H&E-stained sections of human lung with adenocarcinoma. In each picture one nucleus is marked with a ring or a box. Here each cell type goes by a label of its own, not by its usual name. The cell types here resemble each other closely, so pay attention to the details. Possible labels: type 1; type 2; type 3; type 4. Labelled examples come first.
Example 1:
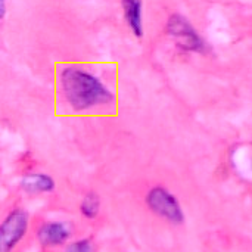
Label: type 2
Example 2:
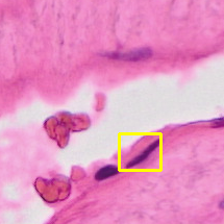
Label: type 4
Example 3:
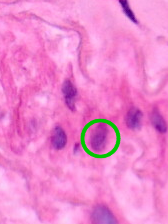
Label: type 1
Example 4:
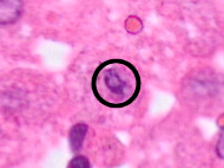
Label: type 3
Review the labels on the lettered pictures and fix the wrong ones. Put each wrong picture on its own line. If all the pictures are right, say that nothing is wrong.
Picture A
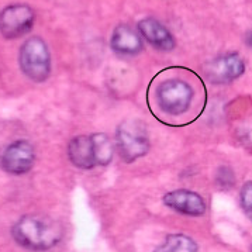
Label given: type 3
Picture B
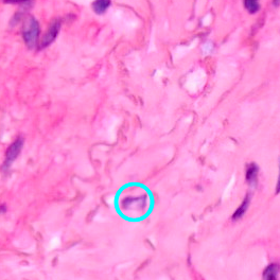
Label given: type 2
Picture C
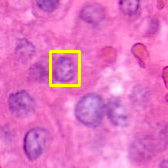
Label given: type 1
C: change type 1 to type 3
